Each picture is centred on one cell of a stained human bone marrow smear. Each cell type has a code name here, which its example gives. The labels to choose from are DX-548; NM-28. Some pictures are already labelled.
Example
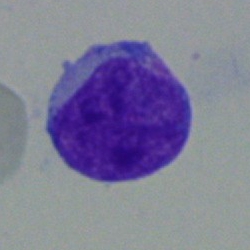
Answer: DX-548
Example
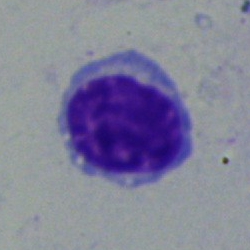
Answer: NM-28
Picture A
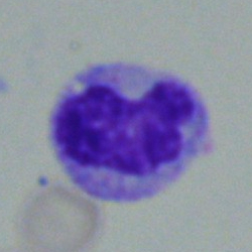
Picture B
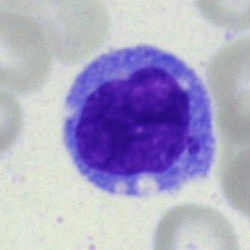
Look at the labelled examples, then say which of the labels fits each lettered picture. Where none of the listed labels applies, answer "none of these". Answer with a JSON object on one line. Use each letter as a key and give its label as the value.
{"A": "none of these", "B": "none of these"}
